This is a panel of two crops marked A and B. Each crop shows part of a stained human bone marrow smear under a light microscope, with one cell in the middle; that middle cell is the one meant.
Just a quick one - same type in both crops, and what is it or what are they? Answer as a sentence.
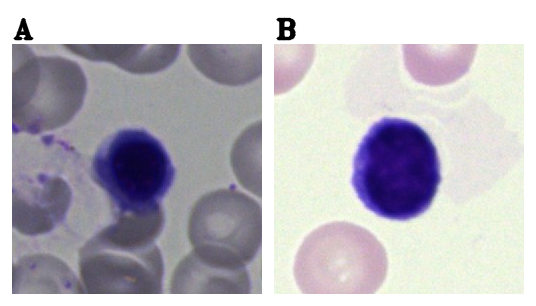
No, shown in crop A is an erythroblast, and shown in crop B is a lymphocyte.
